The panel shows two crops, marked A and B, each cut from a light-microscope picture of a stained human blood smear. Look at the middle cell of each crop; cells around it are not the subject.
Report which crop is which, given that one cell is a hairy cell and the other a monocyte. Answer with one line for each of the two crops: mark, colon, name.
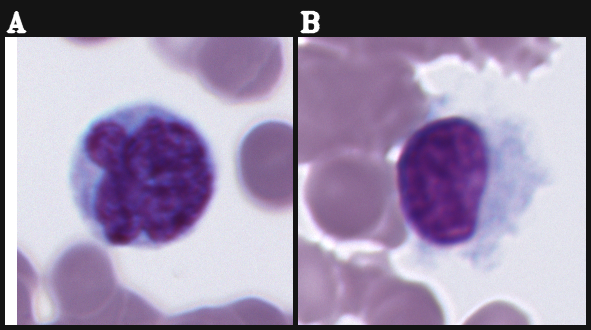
A: monocyte
B: hairy cell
